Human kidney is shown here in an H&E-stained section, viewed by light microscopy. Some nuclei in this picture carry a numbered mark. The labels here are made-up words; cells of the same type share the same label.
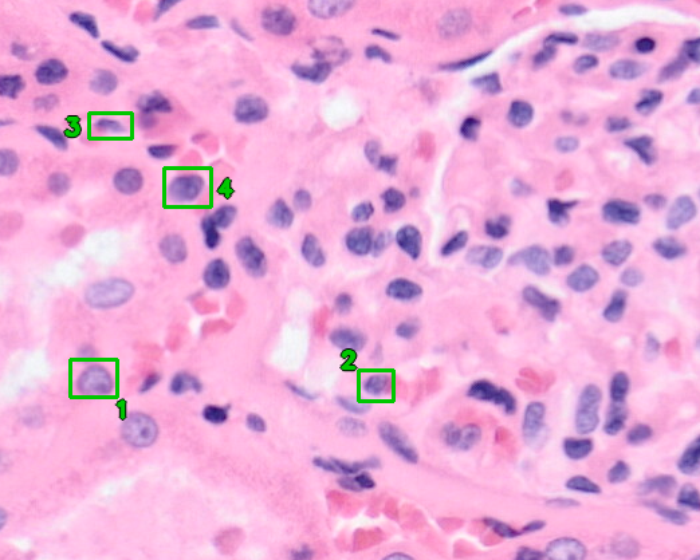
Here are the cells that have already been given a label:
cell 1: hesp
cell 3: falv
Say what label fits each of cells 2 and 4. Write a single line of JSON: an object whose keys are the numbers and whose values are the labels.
{"2": "falv", "4": "falv"}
